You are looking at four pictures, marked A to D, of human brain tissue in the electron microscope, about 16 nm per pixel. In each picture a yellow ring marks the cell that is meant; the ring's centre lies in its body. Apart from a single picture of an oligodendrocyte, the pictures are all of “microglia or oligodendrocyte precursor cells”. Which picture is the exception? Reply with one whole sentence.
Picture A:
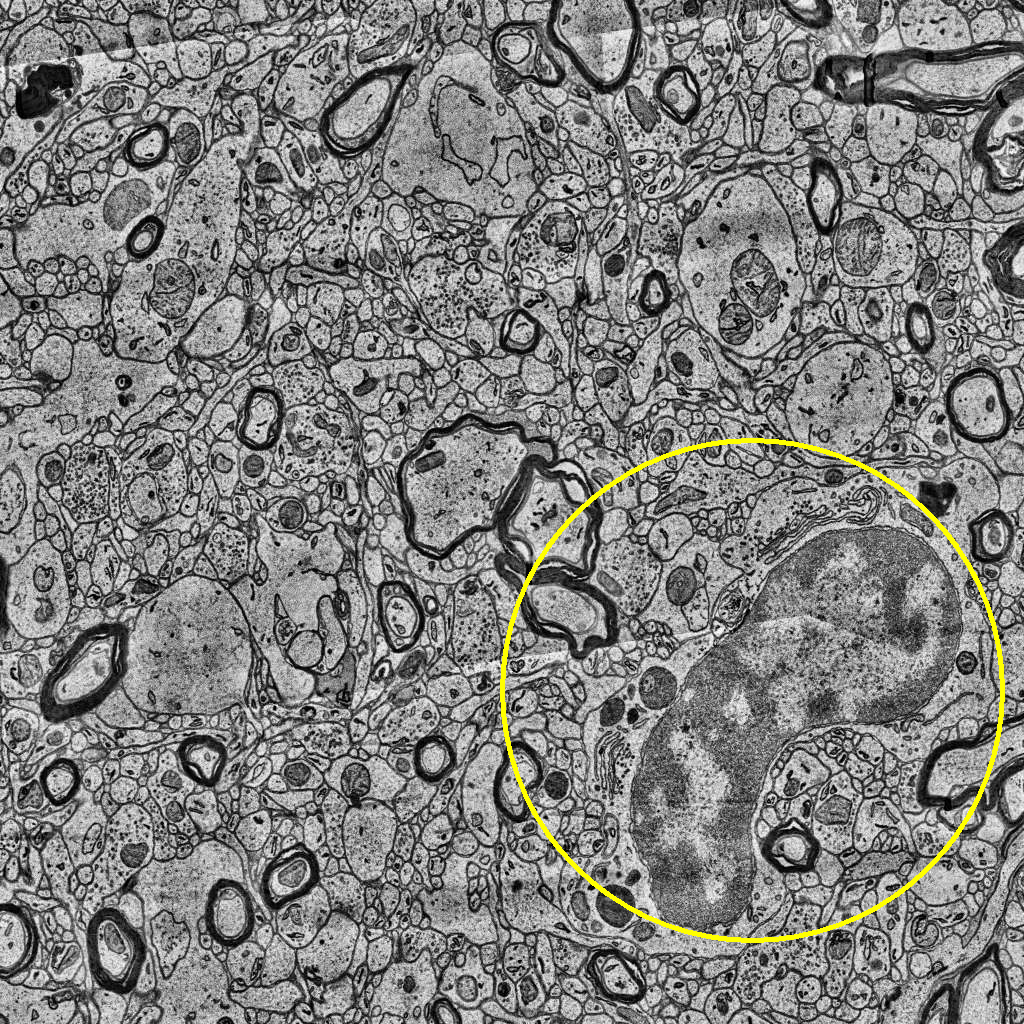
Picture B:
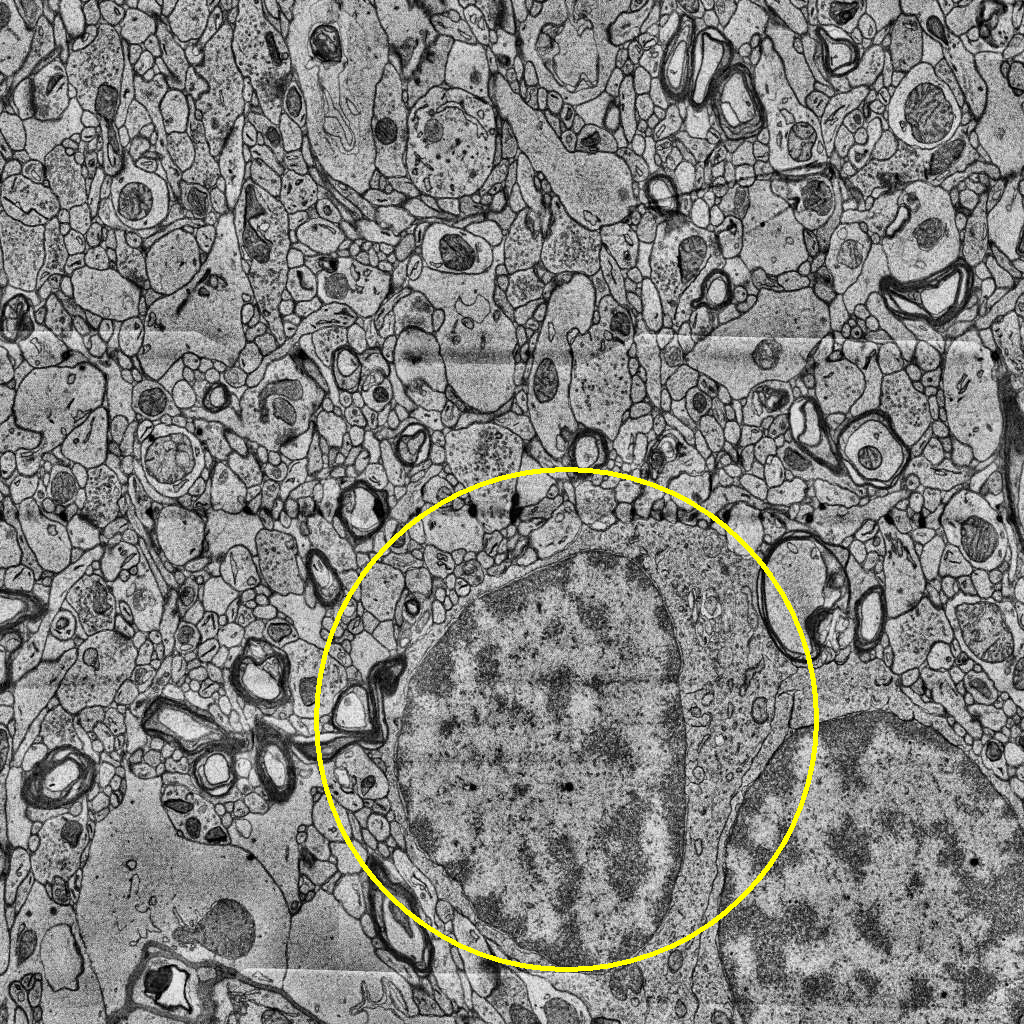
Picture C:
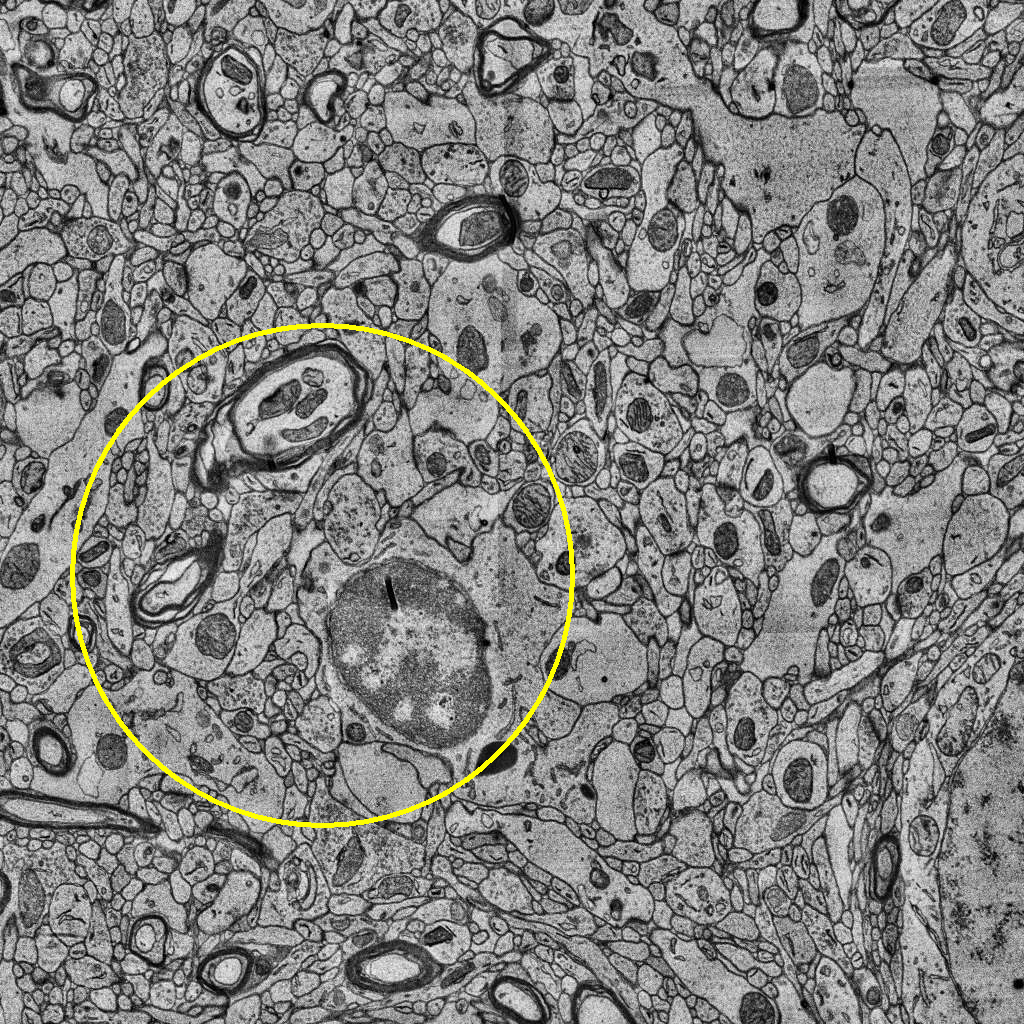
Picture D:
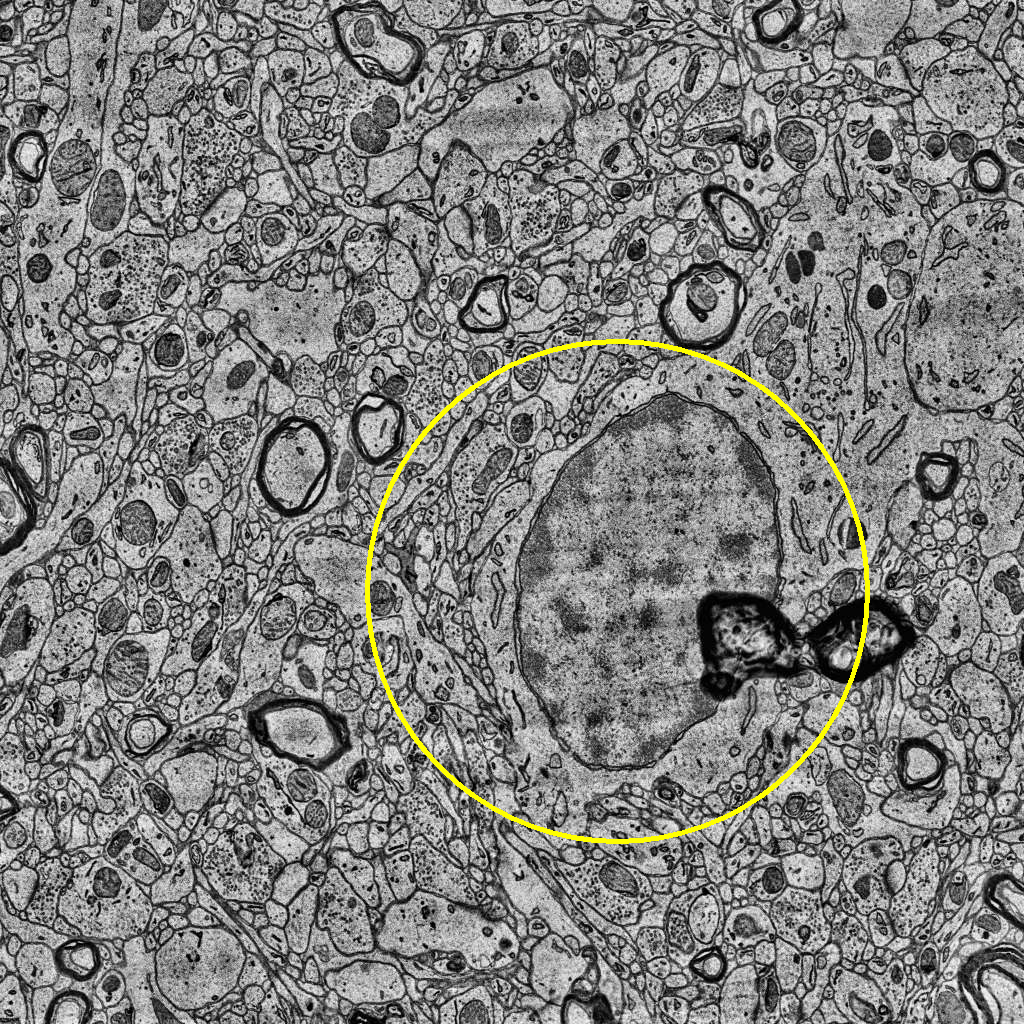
Picture B shows the oligodendrocyte.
